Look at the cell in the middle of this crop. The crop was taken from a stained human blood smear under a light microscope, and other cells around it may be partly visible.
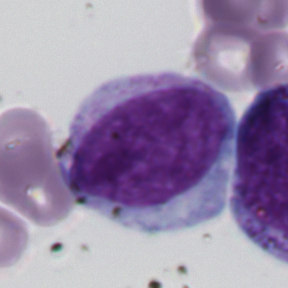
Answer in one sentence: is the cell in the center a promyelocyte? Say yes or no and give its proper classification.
No, the middle cell is classified as a myelocyte and not as a promyelocyte.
